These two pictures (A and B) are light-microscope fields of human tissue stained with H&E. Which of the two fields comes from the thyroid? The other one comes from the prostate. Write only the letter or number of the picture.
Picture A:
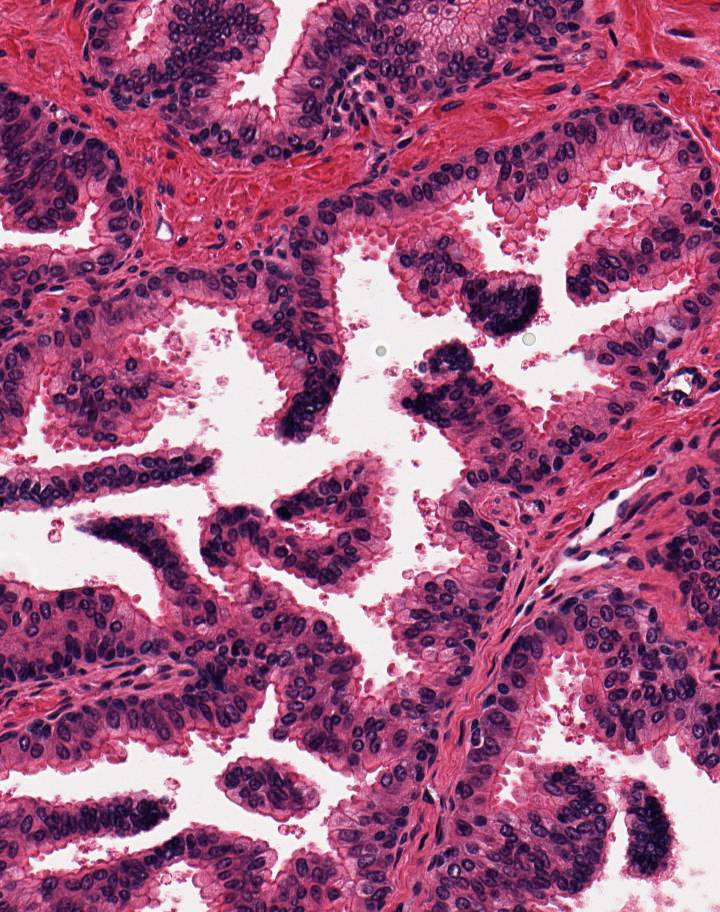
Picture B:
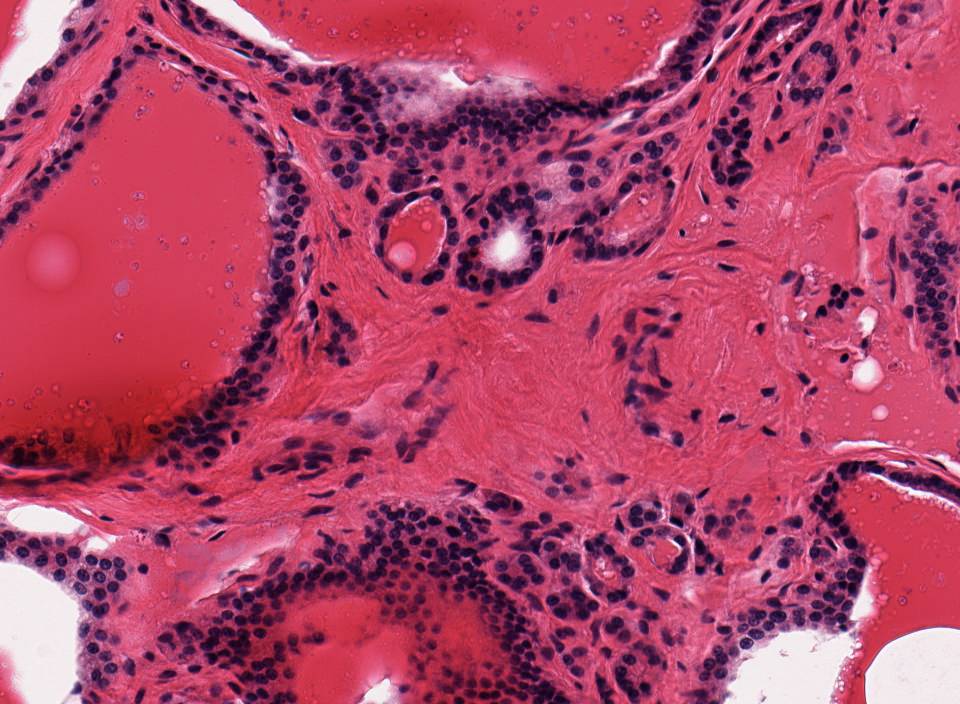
B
